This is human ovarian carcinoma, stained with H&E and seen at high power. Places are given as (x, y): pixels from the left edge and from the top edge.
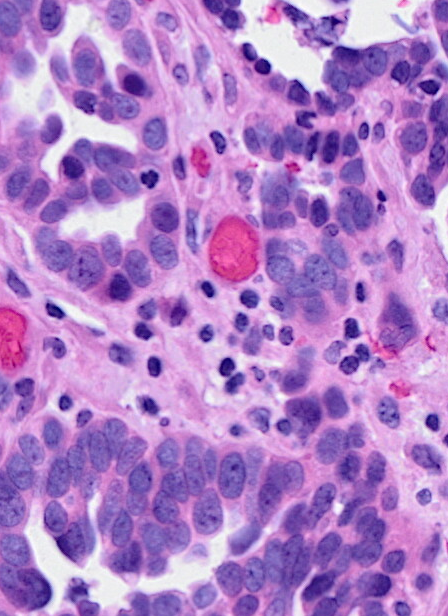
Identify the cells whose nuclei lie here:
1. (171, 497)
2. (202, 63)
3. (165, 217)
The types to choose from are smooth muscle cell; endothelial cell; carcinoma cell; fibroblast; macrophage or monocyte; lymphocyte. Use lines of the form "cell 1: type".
cell 1: carcinoma cell
cell 2: fibroblast
cell 3: carcinoma cell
